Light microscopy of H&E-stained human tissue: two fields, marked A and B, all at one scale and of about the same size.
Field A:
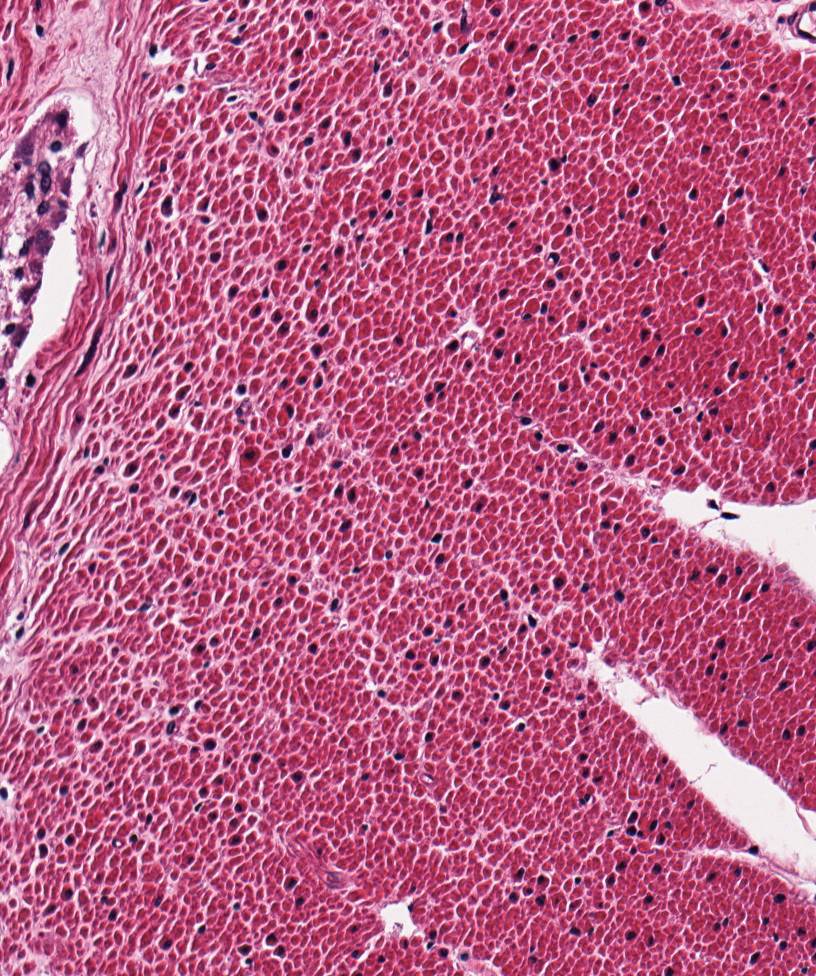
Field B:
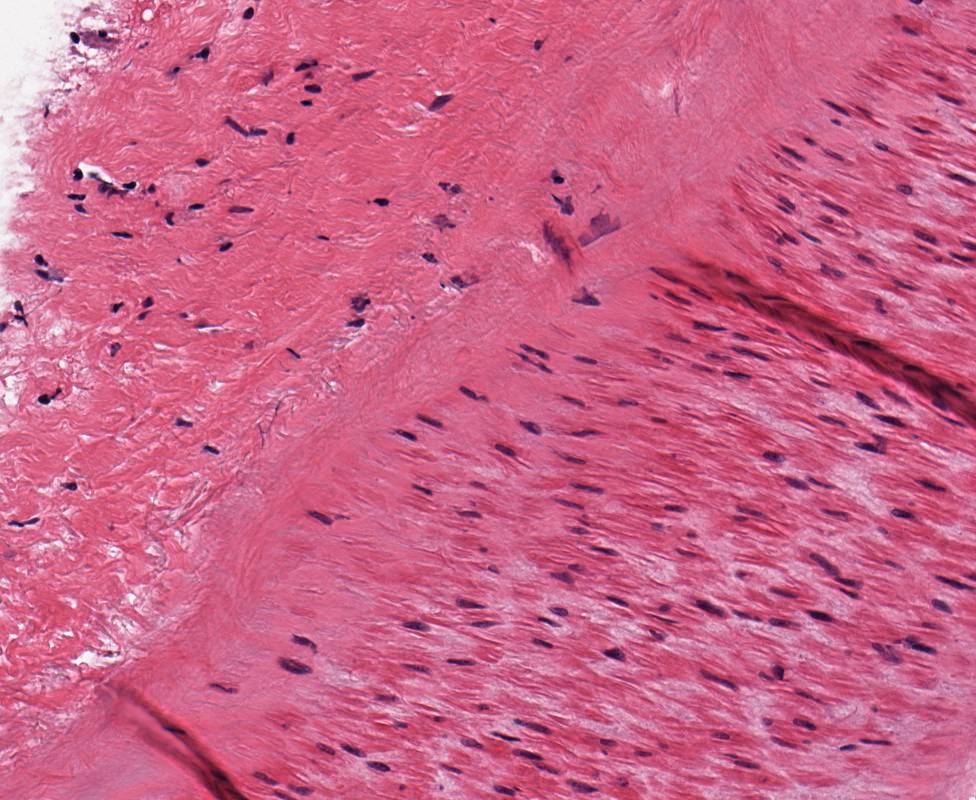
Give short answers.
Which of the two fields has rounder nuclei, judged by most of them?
A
